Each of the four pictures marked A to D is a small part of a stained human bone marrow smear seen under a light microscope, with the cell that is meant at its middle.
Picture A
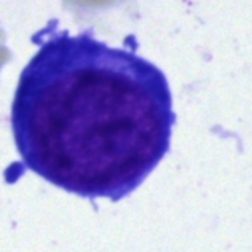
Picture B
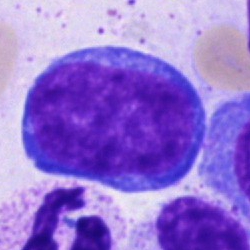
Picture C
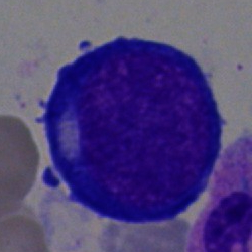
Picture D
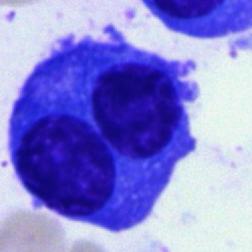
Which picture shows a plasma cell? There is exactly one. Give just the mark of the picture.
D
